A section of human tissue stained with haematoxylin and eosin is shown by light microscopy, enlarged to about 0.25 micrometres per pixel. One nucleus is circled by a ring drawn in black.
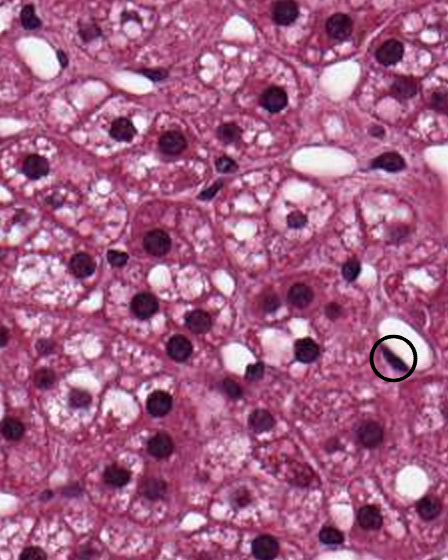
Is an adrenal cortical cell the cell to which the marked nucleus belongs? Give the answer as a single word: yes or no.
no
